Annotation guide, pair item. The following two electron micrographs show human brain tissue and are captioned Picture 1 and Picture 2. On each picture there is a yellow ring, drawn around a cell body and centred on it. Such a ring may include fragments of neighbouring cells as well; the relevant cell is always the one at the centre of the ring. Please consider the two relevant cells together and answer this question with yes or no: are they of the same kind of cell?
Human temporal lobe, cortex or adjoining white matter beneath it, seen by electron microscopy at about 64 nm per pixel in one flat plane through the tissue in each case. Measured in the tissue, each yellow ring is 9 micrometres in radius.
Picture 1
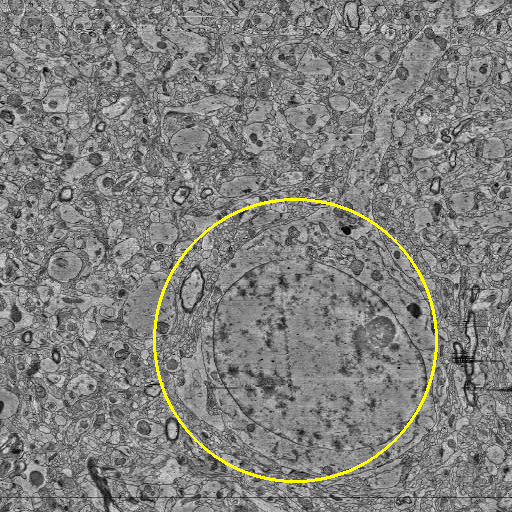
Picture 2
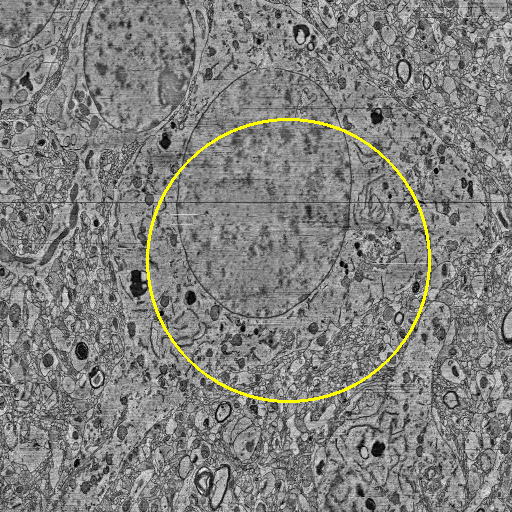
yes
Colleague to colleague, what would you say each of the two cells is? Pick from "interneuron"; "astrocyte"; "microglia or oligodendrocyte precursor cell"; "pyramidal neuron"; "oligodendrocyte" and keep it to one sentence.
Both rings mark a pyramidal neuron, one in each picture.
